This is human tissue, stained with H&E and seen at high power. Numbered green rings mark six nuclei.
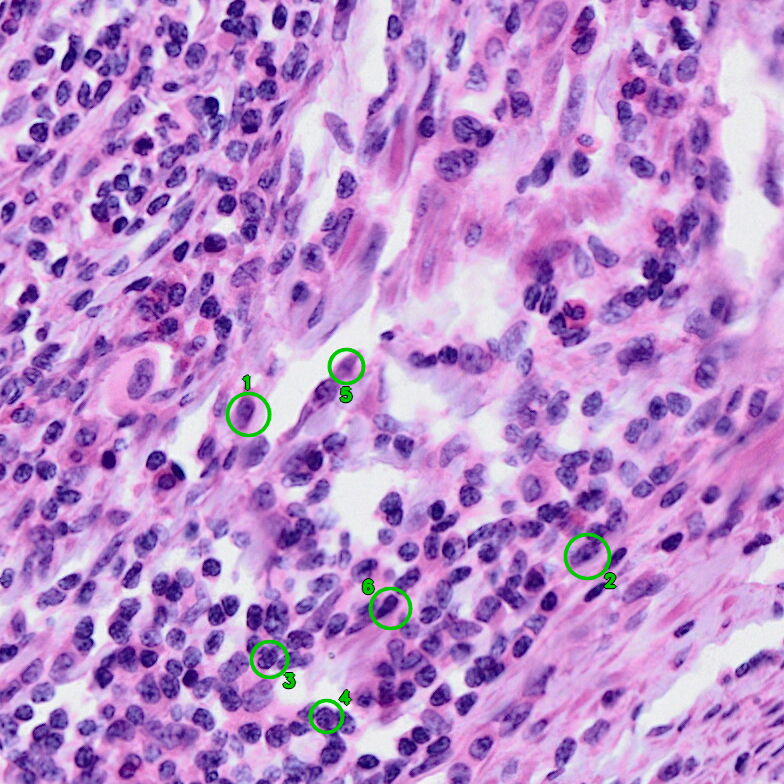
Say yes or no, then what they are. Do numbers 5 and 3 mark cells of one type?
No, the cell numbered 5 is an endothelial cell, and the cell numbered 3 is a lymphocyte.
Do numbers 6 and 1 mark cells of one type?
No, a lymphocyte is what cell 6 is, and a macrophage or monocyte is what cell 1 is.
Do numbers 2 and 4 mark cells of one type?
Yes, both of the numbered cells concerned, 2 and 4, are lymphocytes.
